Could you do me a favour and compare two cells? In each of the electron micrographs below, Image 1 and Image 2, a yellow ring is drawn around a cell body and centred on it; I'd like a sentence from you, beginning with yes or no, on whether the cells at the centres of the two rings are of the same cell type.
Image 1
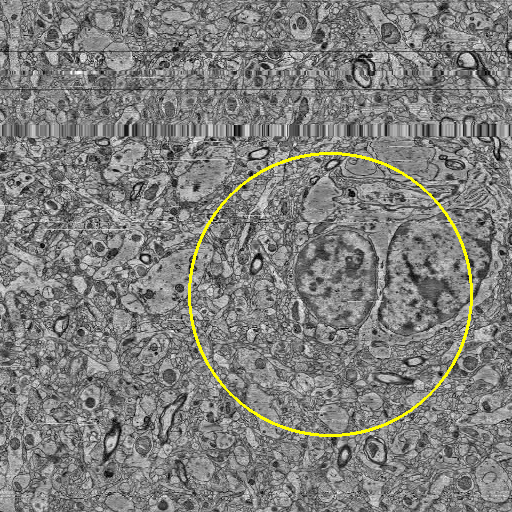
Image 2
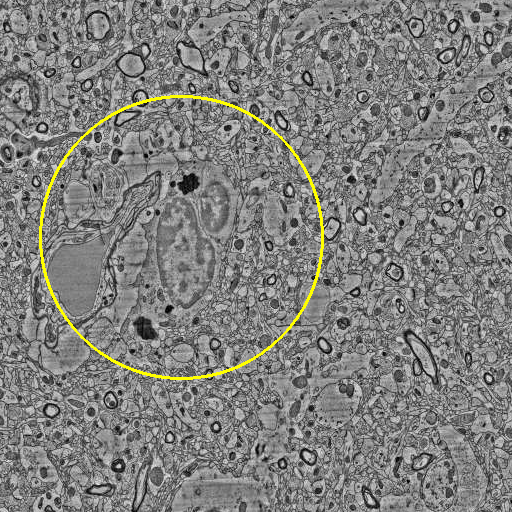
Yes, the two cells are of the same cell type.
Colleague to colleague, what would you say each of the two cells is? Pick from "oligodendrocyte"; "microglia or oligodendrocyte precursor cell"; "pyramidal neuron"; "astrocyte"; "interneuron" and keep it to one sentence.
The second cell is an oligodendrocyte, just as the first is.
